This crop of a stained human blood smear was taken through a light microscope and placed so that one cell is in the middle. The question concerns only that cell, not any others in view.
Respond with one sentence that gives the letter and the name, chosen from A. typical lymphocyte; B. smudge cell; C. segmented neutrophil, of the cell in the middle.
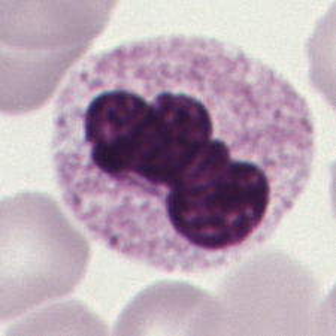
Option C is the right choice, the central cell being a segmented neutrophil.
